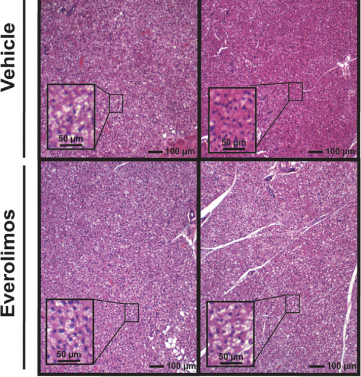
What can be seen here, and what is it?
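These H&E sections show brown fat, made of closely packed polygonal cells with pink cytoplasm. Each cell's cytoplasm is filled with many small clear vacuoles, and the cells carry round, dark-purple nuclei.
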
